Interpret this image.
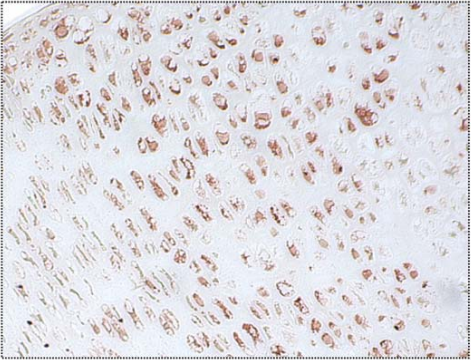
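This is growth plate cartilage packed with prehypertrophic and hypertrophic chondrocytes. The chondrocytes sit in lacunae and are arranged in diagonal columns within a pale matrix. Many of the larger, rounded cells are filled with red-brown stain, while some flattened cells are only faintly stained.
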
